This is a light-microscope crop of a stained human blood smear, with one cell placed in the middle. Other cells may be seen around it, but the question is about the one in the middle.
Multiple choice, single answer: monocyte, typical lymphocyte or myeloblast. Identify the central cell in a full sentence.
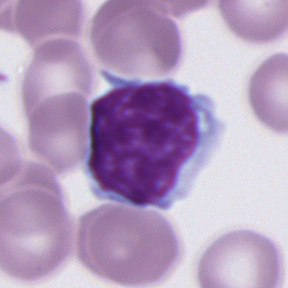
Seen at the centre of the crop is a typical lymphocyte.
